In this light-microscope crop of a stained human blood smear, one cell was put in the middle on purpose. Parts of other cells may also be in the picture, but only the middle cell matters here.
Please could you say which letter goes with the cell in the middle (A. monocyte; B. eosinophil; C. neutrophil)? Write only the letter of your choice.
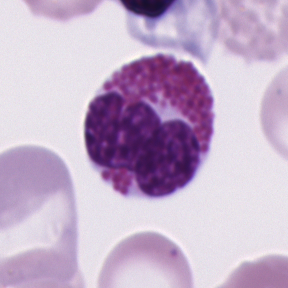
B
